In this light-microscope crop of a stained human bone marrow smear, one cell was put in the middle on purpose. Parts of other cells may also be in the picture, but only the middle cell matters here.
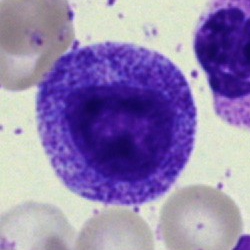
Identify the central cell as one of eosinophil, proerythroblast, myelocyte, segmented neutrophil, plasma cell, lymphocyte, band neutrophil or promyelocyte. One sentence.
The cell under consideration, at the middle of the crop, is a myelocyte.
